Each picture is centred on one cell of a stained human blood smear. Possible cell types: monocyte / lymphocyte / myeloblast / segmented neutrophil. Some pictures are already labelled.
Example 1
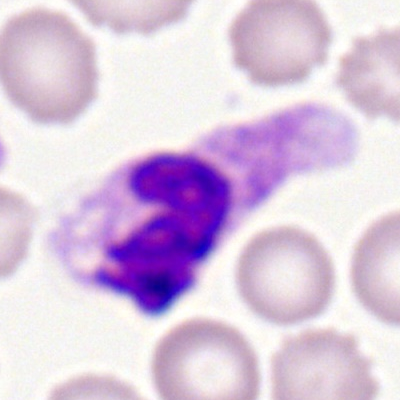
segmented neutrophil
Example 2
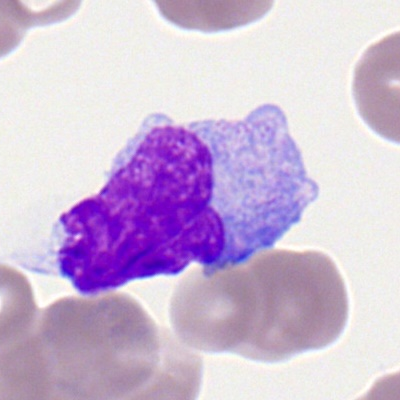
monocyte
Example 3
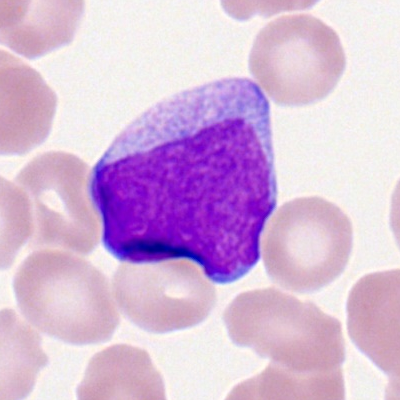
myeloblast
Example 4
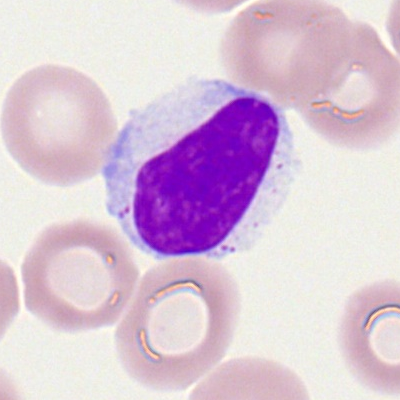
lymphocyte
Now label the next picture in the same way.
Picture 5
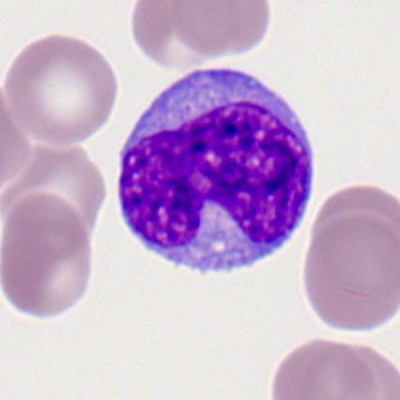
monocyte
